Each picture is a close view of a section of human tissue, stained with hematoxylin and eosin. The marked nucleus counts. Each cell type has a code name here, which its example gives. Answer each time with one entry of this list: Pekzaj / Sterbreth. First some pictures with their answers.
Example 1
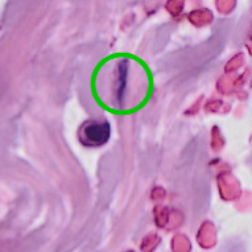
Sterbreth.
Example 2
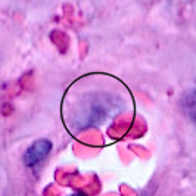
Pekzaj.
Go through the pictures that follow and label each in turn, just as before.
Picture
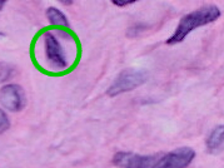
Sterbreth.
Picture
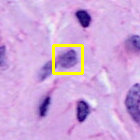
Sterbreth.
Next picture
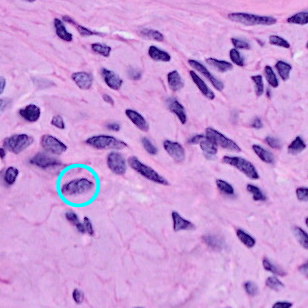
Sterbreth.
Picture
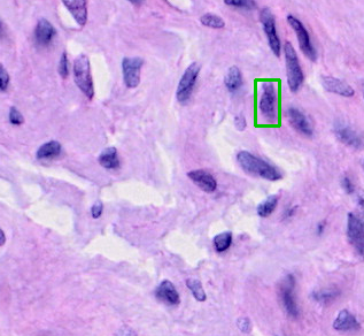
Sterbreth.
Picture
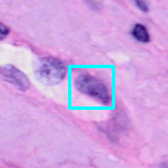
Pekzaj.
